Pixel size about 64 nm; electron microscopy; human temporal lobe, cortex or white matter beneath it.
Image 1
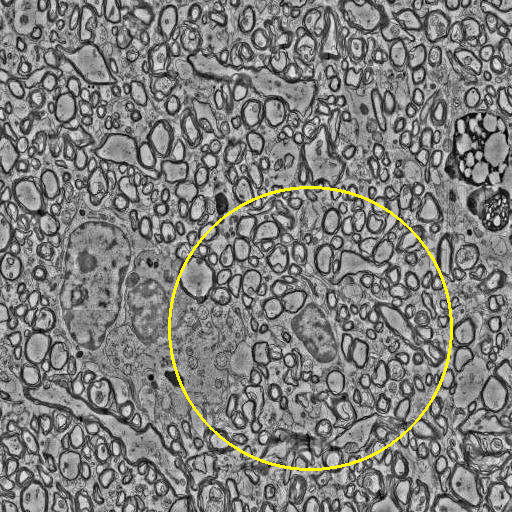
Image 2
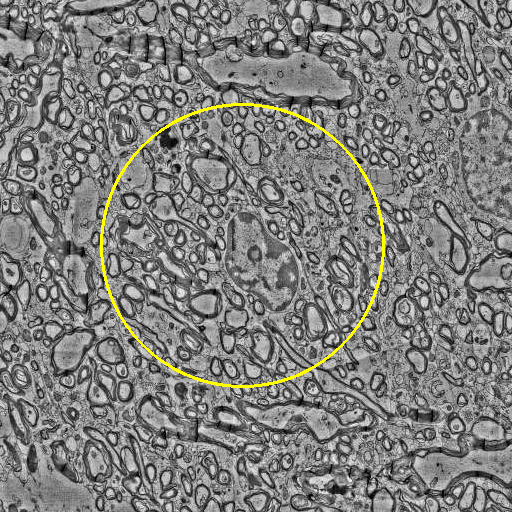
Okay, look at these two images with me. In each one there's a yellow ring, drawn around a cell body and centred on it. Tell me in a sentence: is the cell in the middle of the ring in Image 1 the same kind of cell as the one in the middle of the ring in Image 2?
Yes, they're the same kind of cell.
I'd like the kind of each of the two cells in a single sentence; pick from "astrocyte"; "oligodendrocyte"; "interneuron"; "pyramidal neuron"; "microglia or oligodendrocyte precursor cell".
Each of the two pictures has a microglial cell or oligodendrocyte precursor cell at the ring centre.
